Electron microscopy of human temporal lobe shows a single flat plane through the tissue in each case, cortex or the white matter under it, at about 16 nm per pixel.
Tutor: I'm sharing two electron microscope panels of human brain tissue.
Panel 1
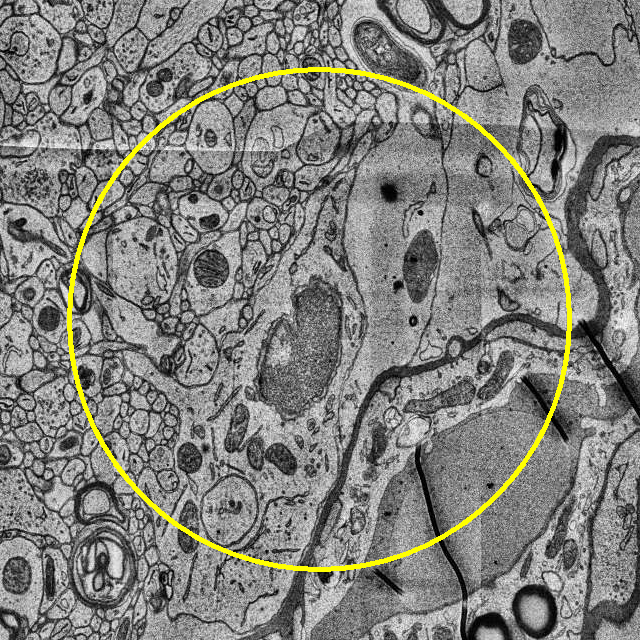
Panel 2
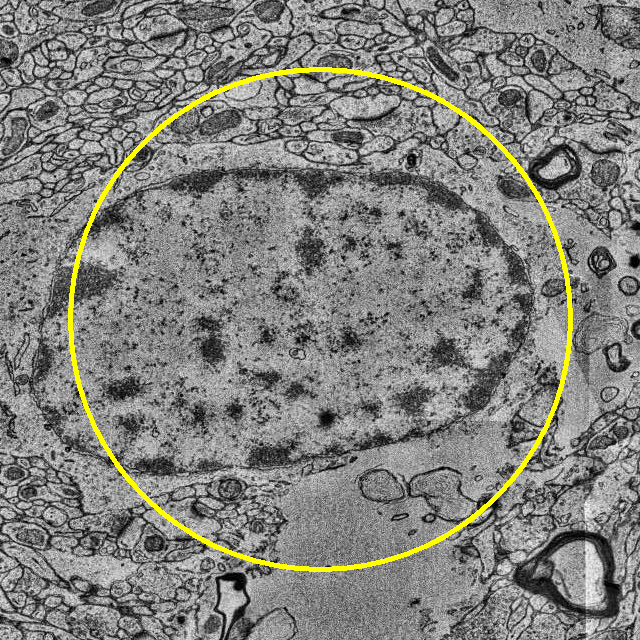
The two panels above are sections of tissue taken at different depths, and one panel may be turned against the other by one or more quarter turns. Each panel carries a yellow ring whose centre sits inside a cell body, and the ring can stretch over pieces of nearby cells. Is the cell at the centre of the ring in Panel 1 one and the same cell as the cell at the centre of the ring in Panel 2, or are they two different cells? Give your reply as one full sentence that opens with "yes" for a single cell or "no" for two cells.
No, the rings mark two cells rather than a single cell.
